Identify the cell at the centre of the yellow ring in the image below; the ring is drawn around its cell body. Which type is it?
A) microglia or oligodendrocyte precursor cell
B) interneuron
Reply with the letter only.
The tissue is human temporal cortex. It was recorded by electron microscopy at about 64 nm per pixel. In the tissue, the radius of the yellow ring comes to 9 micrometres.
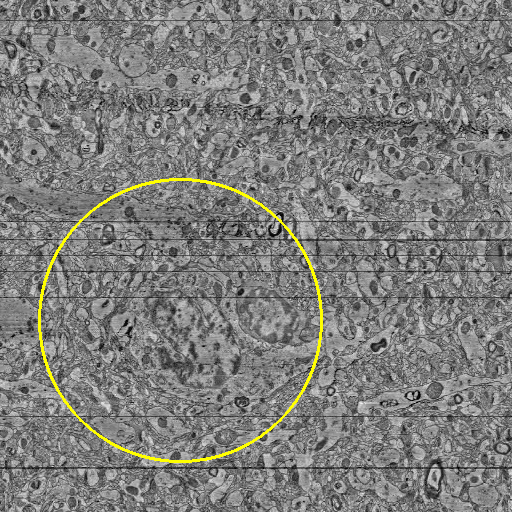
B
